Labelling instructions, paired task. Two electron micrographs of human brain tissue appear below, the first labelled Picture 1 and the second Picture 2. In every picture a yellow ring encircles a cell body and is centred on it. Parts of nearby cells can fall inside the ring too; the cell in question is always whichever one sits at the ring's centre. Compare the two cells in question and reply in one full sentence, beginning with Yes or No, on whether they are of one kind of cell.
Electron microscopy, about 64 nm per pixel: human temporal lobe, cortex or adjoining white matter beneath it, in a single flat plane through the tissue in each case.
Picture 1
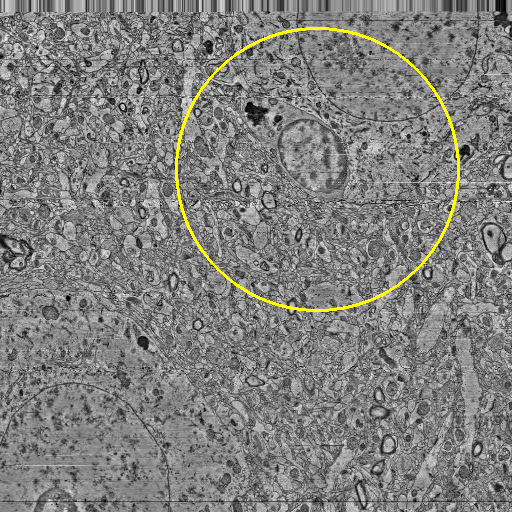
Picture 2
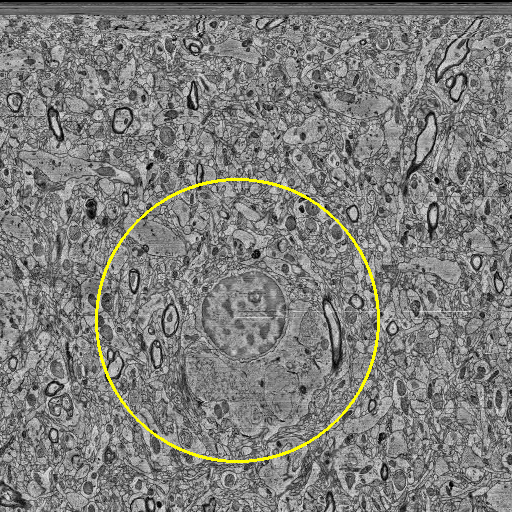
Yes, the two cells at the ring centres in Picture 1 and Picture 2 are of one kind.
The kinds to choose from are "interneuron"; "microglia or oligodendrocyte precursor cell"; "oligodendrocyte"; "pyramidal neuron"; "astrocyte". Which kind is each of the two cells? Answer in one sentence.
In both pictures the ring is centred on an oligodendrocyte.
